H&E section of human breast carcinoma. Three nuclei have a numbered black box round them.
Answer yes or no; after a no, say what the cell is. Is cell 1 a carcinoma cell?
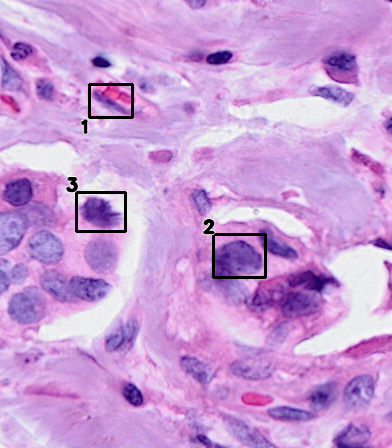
No, it is an endothelial cell.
